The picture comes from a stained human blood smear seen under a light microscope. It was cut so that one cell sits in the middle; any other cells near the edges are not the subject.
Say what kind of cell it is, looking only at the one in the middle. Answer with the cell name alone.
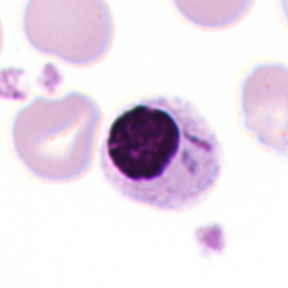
normoblast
